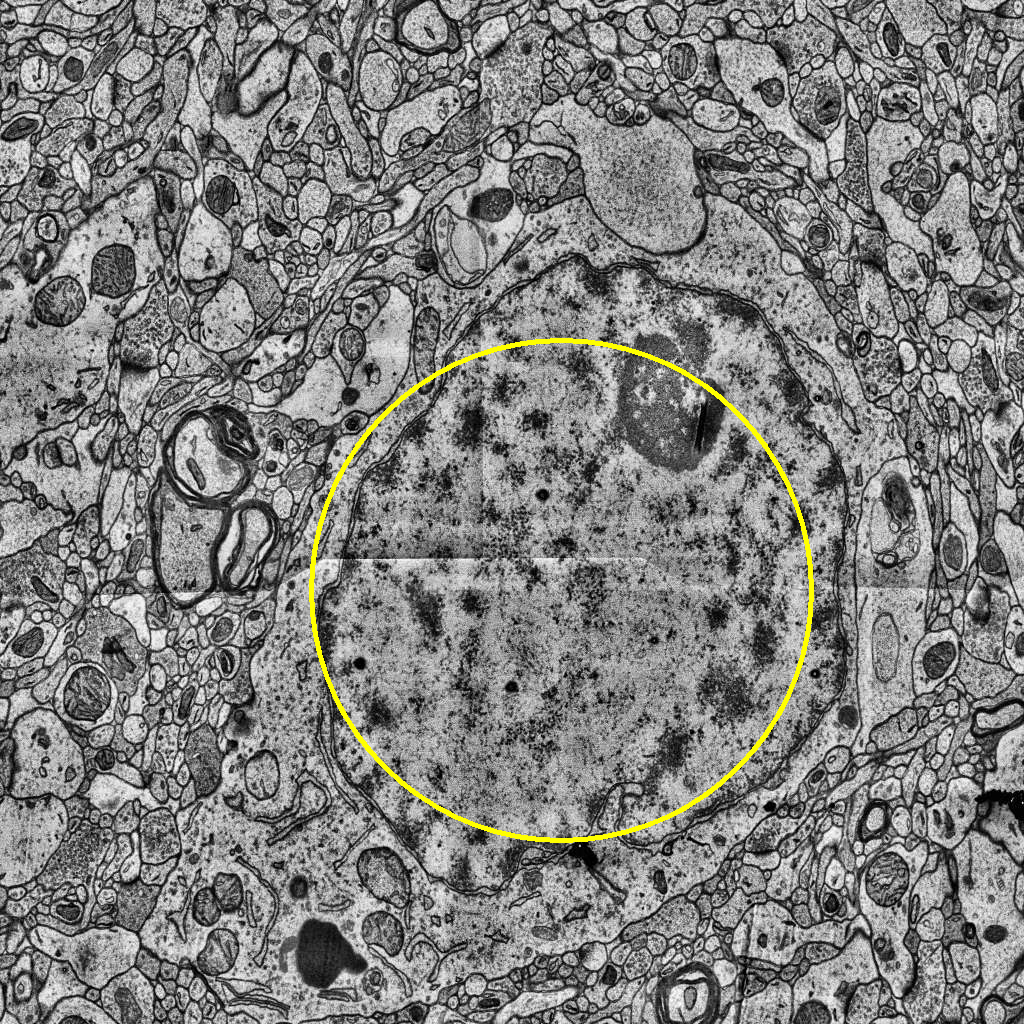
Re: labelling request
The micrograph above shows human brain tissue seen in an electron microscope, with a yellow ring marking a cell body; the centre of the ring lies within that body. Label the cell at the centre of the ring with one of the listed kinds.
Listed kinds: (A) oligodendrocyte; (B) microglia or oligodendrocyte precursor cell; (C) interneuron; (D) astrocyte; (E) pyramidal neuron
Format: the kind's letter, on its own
C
